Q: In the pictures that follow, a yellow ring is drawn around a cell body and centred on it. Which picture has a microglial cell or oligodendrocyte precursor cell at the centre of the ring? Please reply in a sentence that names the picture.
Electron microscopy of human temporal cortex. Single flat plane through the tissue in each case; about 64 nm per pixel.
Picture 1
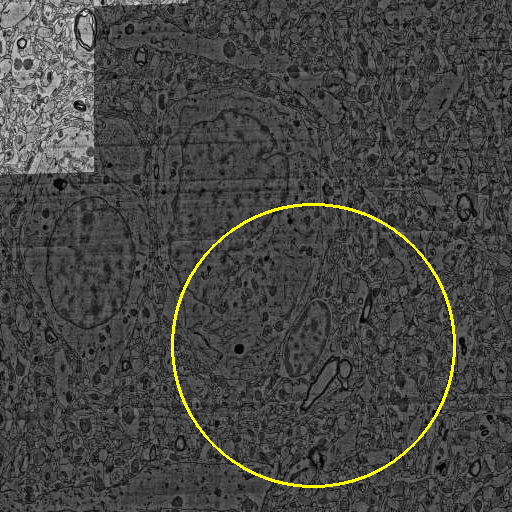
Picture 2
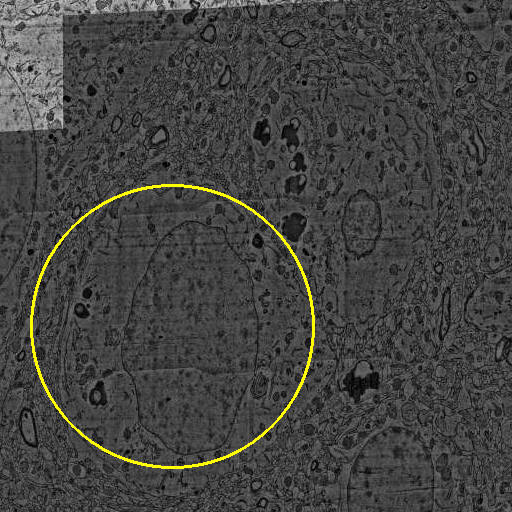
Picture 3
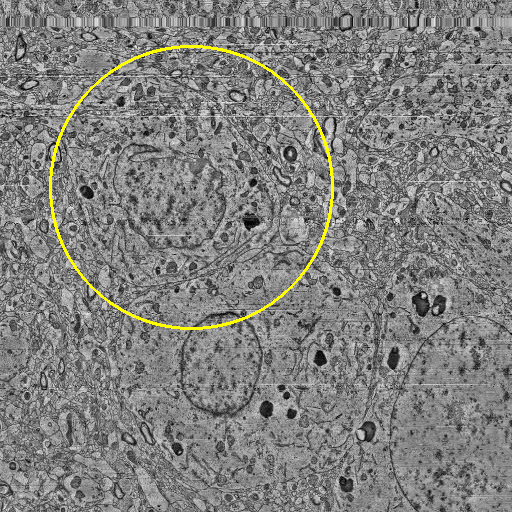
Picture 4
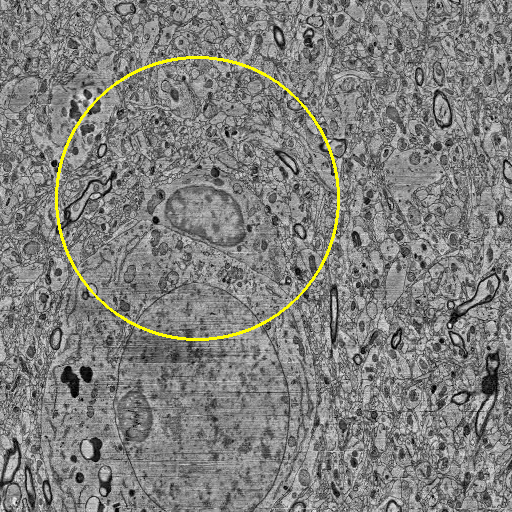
Picture 1 shows it at the centre of its ring.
